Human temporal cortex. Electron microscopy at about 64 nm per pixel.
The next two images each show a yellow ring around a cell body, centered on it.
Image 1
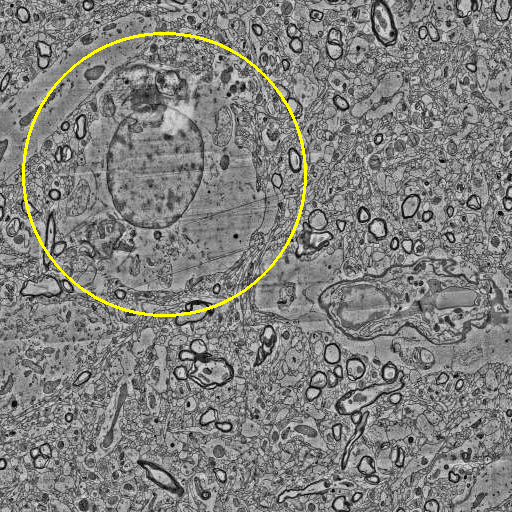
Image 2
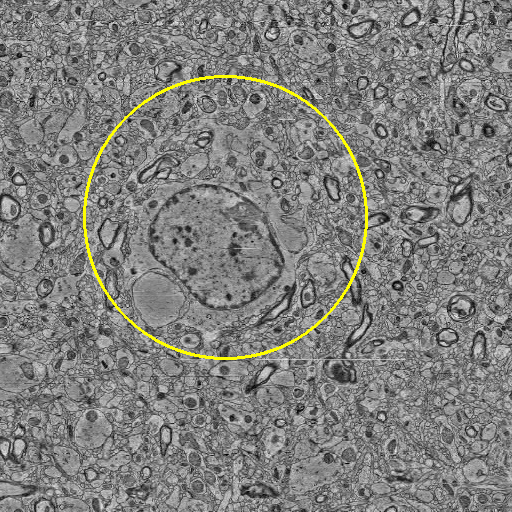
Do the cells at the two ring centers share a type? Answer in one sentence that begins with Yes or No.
Yes, across the two images the cells at the ring centers share one type.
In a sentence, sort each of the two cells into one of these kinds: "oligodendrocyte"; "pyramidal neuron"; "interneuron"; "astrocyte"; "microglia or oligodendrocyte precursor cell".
Each of the two rings surrounds an astrocyte.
